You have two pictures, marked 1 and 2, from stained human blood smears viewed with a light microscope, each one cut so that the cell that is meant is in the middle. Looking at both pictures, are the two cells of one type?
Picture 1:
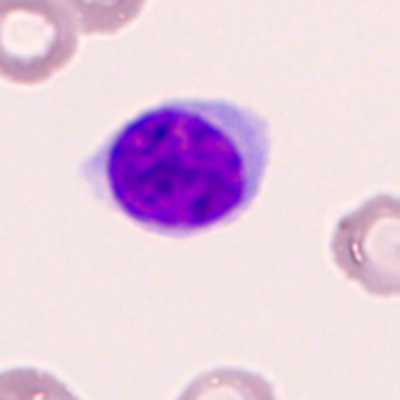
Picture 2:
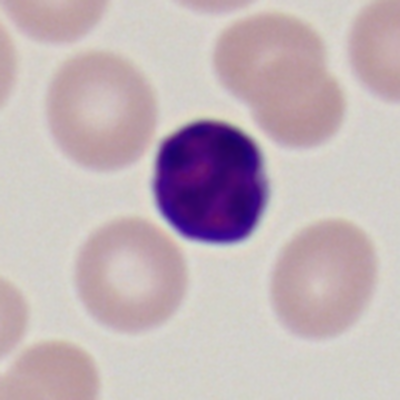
yes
